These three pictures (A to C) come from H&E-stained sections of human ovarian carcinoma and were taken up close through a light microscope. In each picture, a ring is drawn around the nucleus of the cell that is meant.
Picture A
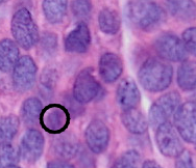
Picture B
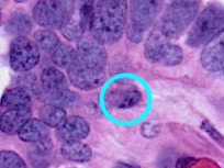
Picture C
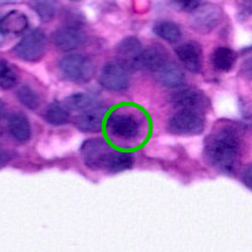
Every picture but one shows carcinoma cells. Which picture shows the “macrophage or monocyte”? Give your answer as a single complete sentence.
The “macrophage or monocyte” is the one in picture B.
